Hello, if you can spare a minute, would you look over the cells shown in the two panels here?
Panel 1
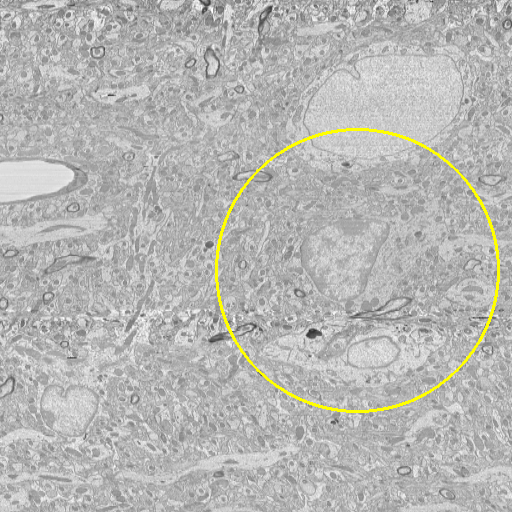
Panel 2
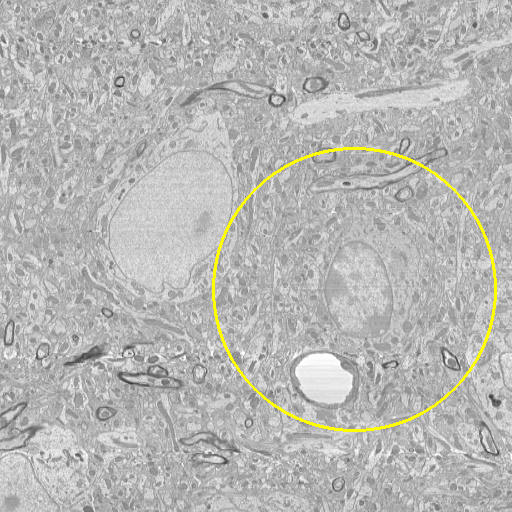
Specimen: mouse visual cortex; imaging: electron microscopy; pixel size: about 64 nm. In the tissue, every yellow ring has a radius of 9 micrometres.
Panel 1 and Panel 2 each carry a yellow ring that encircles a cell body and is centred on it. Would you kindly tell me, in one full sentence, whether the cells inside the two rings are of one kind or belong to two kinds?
The cells at the centres of the rings in Panel 1 and Panel 2 are of one kind.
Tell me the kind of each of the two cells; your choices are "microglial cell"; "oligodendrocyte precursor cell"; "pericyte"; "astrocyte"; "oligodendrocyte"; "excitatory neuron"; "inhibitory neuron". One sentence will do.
In the first picture and in the second, the ring is centred on an oligodendrocyte.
